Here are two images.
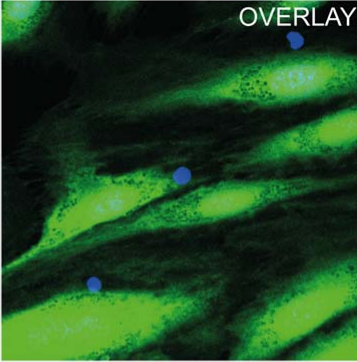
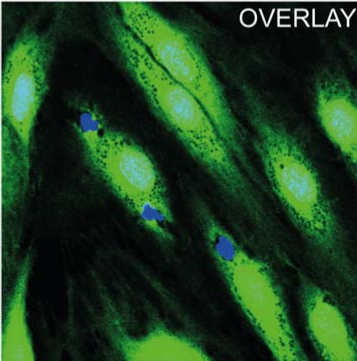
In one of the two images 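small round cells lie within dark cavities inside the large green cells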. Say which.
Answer: The second image.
